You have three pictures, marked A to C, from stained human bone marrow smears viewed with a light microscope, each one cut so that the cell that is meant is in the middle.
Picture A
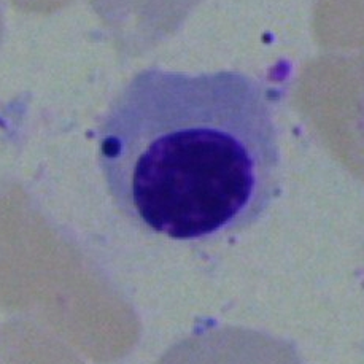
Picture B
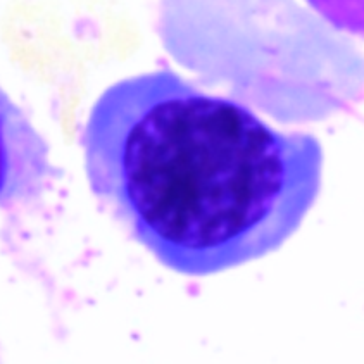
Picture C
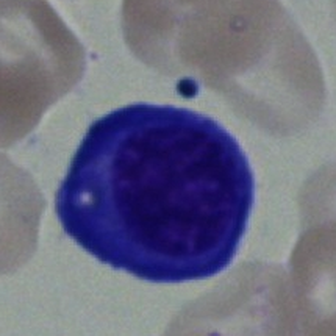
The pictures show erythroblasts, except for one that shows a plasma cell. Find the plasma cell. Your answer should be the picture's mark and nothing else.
C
